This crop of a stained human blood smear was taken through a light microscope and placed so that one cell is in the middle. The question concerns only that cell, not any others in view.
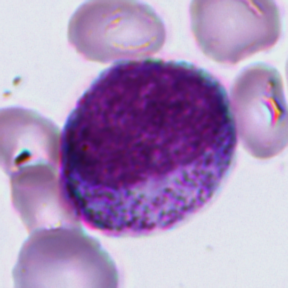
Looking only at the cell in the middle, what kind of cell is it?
promyelocyte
